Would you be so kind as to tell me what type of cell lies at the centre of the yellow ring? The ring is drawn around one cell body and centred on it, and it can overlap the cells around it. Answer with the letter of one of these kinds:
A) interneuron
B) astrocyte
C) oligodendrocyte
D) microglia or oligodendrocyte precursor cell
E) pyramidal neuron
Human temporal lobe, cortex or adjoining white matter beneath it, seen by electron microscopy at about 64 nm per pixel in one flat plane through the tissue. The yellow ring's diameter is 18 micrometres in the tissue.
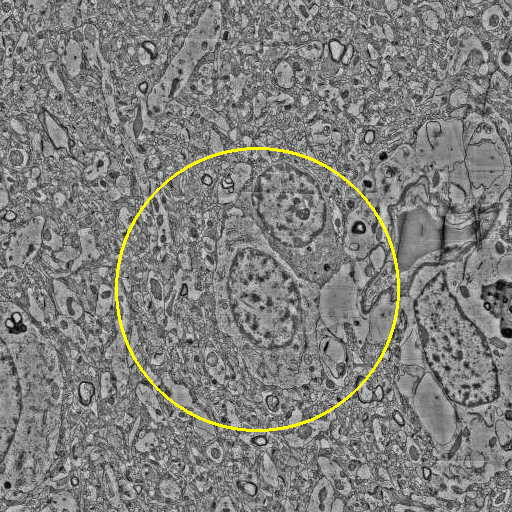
A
